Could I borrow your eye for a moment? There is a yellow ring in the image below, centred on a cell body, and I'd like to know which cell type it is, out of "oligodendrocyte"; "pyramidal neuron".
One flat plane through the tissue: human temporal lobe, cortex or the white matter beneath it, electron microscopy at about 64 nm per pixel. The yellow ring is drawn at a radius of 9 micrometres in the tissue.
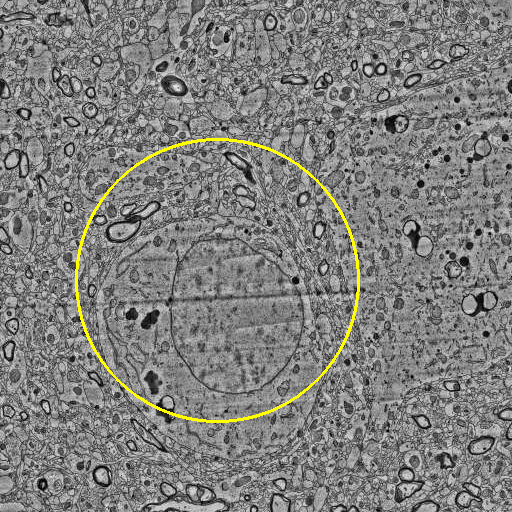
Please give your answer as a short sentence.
The cell body at the centre is that of a pyramidal neuron.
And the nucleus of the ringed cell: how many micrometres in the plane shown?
In this plane, approximately 10 by 9 micrometers.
